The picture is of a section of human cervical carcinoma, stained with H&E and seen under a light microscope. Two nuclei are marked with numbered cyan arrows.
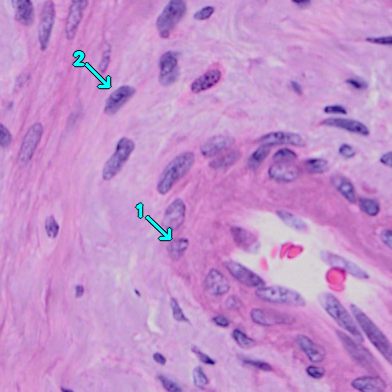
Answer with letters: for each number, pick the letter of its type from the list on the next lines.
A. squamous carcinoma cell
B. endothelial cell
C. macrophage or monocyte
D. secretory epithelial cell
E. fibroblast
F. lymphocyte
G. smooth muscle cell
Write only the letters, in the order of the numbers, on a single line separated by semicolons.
G; E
